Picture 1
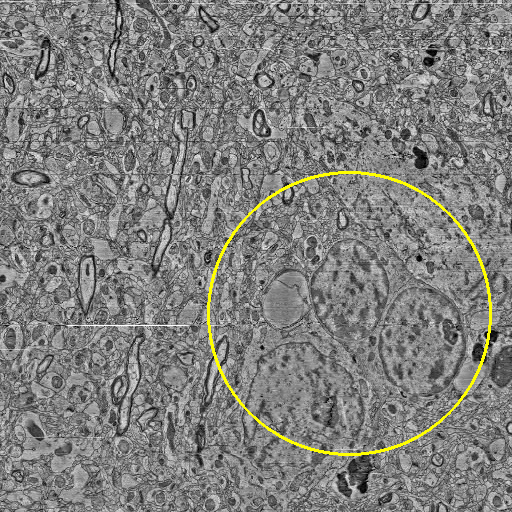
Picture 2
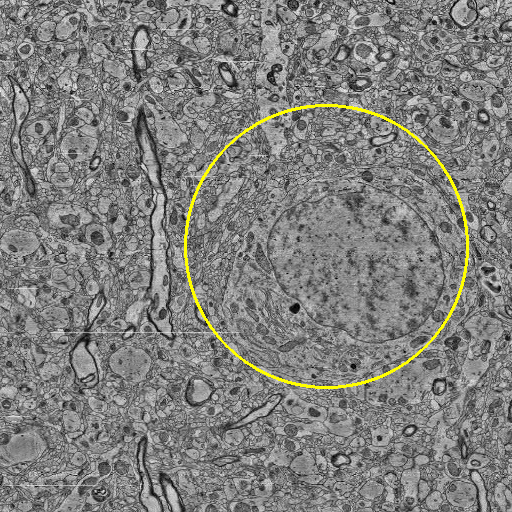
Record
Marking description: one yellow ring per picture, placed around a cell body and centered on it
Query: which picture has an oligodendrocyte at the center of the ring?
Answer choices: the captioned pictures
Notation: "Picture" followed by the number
Picture 1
